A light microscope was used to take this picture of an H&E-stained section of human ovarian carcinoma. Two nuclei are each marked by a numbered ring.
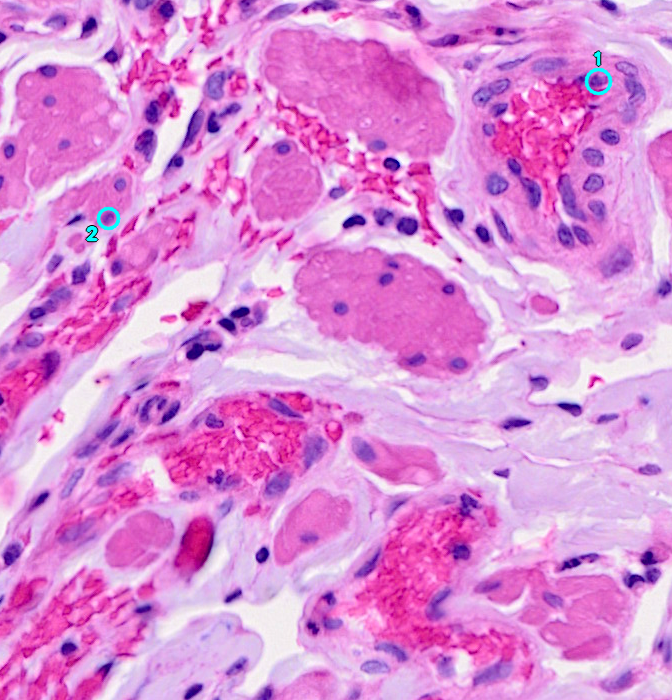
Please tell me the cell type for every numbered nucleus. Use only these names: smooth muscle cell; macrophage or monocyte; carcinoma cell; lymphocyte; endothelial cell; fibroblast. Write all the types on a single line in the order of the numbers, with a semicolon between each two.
endothelial cell; smooth muscle cell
